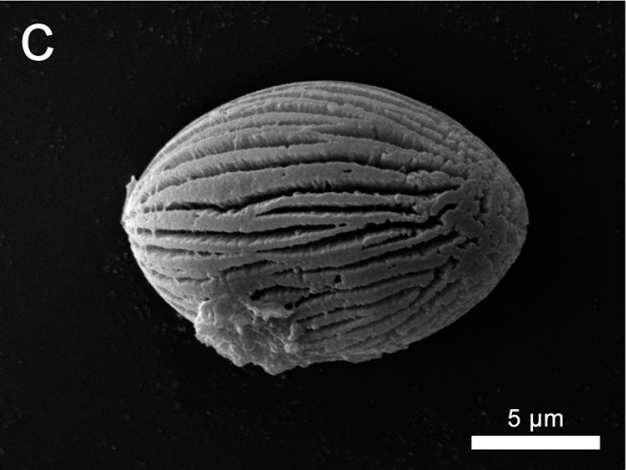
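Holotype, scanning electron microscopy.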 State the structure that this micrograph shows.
Longitudinal ridges.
